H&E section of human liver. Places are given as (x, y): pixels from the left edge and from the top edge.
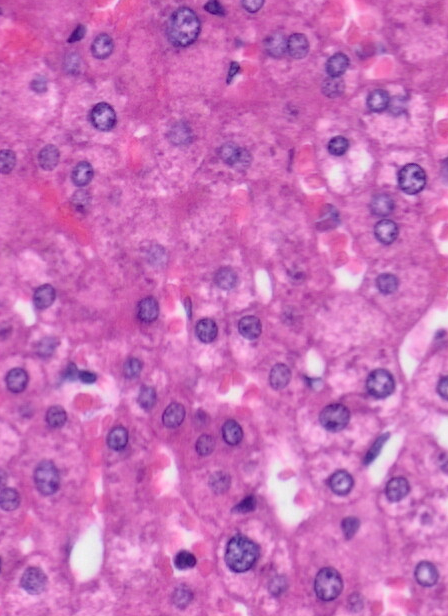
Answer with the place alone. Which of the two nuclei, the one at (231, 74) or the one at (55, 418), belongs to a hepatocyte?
(55, 418)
